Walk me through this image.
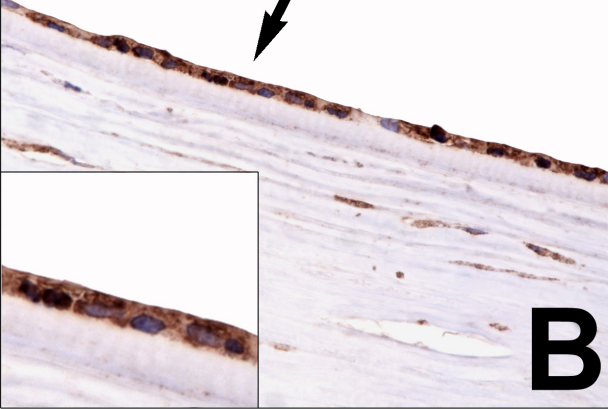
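The corneal endothelium forms a continuous layer of cells along the posterior surface, their cytoplasm stained intensely brown around rounded to oval blue nuclei. Scattered brown-stained elongated profiles are also seen between the stromal lamellae.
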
